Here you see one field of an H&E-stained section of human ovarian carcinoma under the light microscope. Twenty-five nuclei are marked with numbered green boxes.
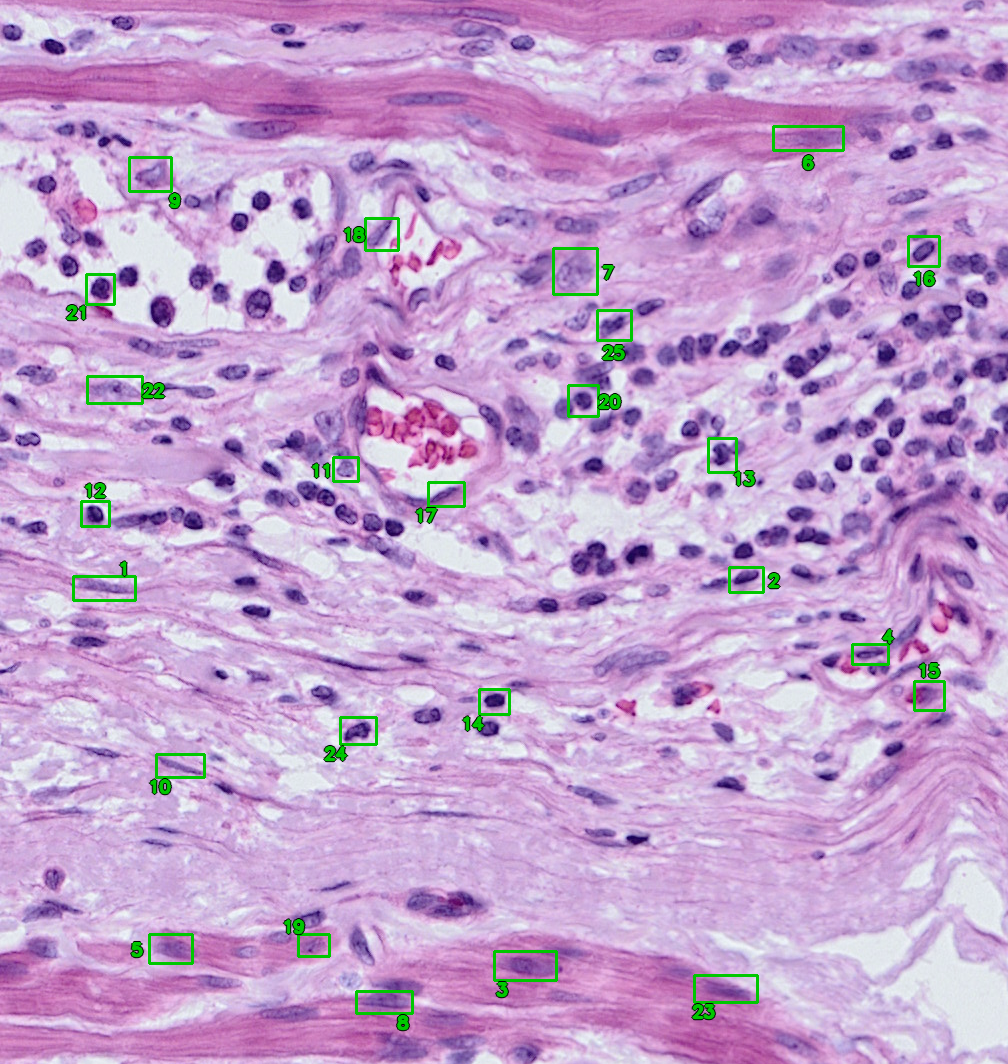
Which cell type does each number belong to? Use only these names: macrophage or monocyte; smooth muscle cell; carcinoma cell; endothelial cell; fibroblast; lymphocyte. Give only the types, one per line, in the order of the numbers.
fibroblast
lymphocyte
smooth muscle cell
endothelial cell
smooth muscle cell
smooth muscle cell
fibroblast
smooth muscle cell
fibroblast
fibroblast
macrophage or monocyte
lymphocyte
lymphocyte
lymphocyte
endothelial cell
lymphocyte
endothelial cell
endothelial cell
smooth muscle cell
lymphocyte
lymphocyte
fibroblast
smooth muscle cell
lymphocyte
lymphocyte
